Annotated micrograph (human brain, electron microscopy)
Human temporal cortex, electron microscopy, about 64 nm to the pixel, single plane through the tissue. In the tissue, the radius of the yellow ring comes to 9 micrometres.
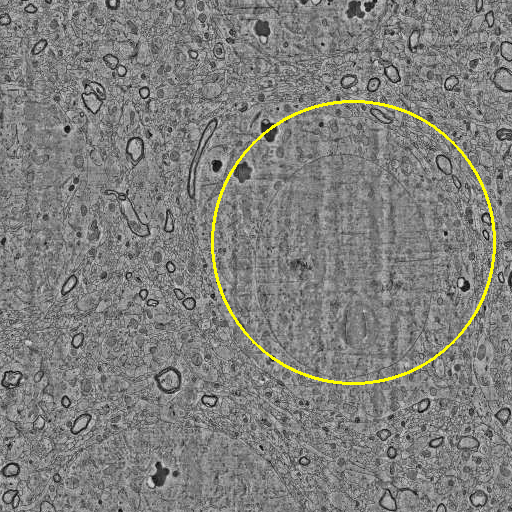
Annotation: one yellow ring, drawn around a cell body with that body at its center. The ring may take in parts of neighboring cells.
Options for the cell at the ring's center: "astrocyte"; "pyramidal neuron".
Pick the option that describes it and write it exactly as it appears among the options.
pyramidal neuron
